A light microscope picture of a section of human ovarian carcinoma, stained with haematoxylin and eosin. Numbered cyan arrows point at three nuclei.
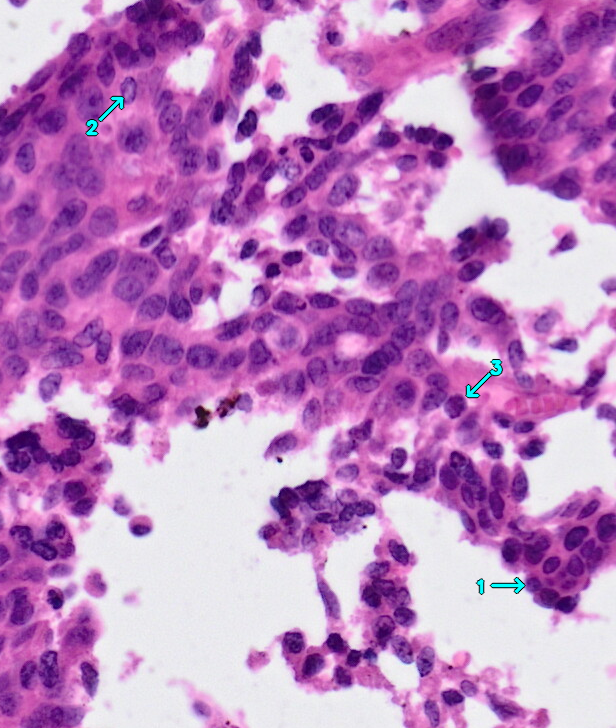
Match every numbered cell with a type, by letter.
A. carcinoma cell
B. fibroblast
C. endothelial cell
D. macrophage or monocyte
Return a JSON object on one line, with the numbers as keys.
{"1": "A", "2": "D", "3": "A"}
